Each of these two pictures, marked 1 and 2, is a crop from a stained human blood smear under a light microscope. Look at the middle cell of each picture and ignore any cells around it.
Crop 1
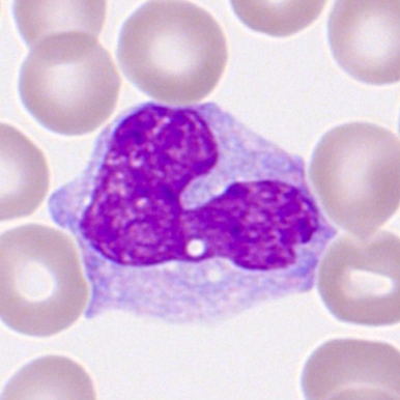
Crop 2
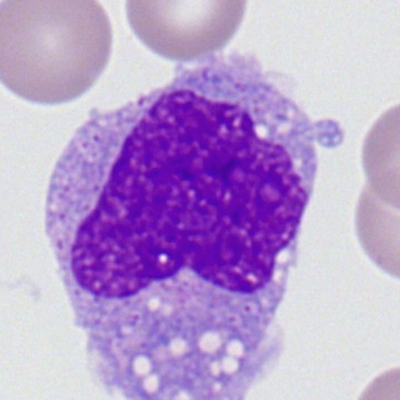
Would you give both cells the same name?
yes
